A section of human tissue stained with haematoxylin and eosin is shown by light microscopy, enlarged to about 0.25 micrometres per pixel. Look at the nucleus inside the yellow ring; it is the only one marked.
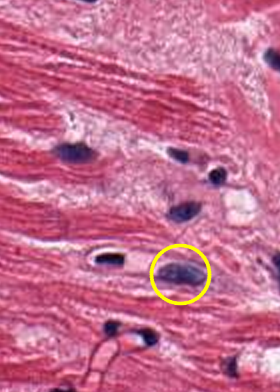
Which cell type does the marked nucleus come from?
cardiomyocyte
